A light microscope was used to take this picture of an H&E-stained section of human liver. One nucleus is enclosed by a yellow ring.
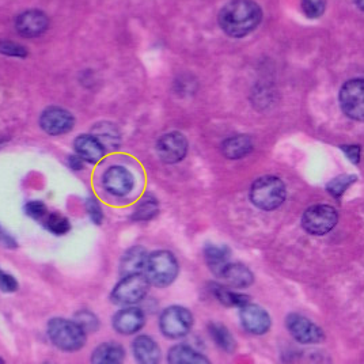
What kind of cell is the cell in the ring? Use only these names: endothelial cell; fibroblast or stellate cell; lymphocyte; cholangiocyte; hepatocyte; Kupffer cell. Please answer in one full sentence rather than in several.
Within this tissue, the cell in the ring is a cholangiocyte.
